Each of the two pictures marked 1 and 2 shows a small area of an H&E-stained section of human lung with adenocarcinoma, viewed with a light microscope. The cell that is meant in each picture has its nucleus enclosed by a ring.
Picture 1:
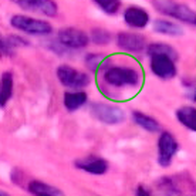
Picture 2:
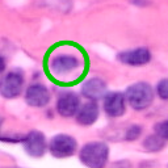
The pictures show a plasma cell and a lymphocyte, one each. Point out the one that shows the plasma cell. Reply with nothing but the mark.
1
